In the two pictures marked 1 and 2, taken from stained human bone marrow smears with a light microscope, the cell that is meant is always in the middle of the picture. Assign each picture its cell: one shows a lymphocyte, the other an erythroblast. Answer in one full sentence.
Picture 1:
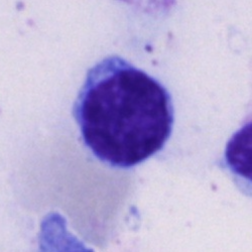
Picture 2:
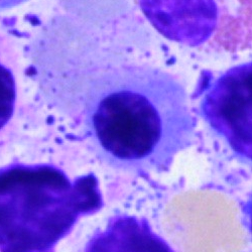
In picture 1 the cell is a lymphocyte; in picture 2, an erythroblast.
